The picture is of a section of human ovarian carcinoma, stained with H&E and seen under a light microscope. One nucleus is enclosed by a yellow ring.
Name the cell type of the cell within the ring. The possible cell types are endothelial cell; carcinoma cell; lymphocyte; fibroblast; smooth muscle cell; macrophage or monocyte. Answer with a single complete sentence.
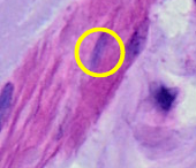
Labelled by cell type, the cell within the ring is a smooth muscle cell.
